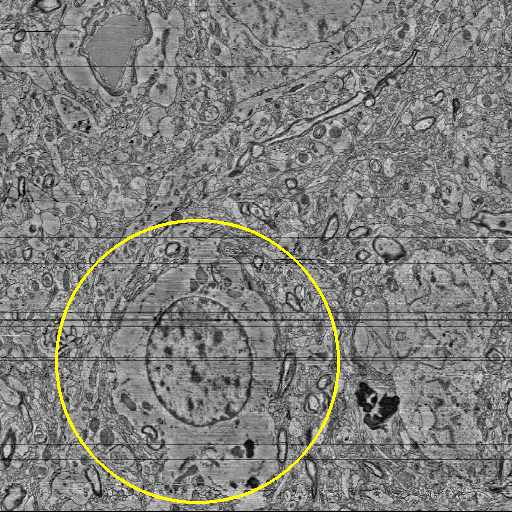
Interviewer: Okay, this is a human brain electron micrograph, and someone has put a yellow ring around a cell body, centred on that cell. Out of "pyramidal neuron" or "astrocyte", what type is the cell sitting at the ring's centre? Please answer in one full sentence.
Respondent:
The cell at the centre of the yellow ring in this picture is an astrocyte.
